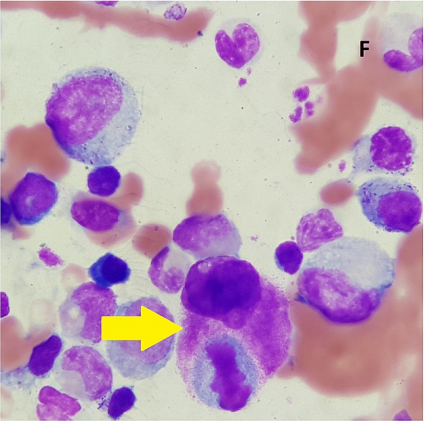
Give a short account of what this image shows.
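Bone marrow aspirate showing a large phagocytic cell engulfing hematopoietic elements. The cell at centre has abundant pink-purple granular cytoplasm containing a rounded violet nucleus above and, below it, a dense, curved, elongated nucleus of an enclosed cell lying within a pale vacuole-like space. Around it lie myeloid precursors with round or indented nuclei, fine chromatin and bluish to granular cytoplasm, a few small cells with dense dark nuclei, and pink red cells in the background.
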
